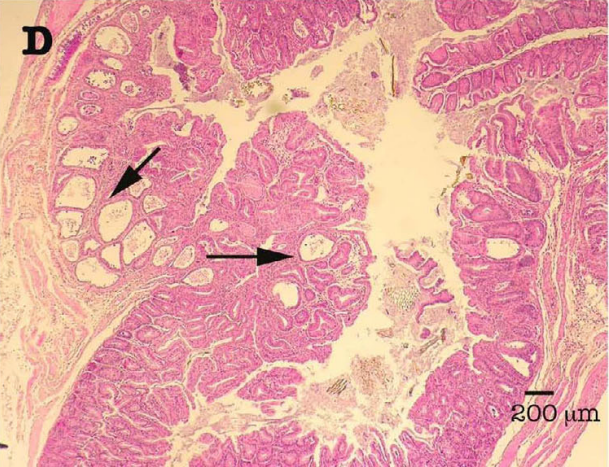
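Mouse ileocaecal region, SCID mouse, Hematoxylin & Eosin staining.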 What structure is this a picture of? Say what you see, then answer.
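Masses of glandular mucosa bulge inward and fill much of the central lumen. The glandular tissue forms thick folded projections rather than a flat mucosal layer. The answer: polypoid structures.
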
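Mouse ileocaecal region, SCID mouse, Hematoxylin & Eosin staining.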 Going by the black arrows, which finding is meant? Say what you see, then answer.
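The arrows point at glands with widened, rounded, mostly empty lumens. So: focal cystic dilation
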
